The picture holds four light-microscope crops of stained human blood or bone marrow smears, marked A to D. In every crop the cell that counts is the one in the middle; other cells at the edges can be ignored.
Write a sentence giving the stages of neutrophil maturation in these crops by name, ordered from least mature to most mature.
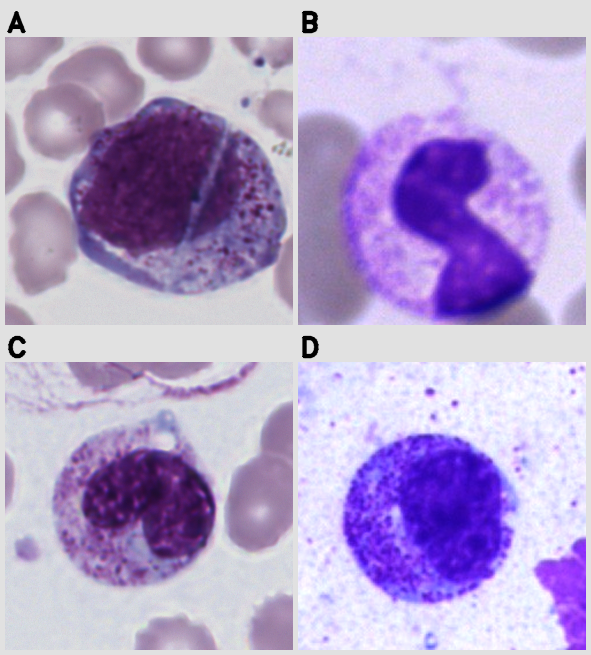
Starting with the least mature and ending with the most mature, the order is crop A (a promyelocyte), crop D (a myelocyte), crop C (a metamyelocyte) and crop B (a band neutrophil).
